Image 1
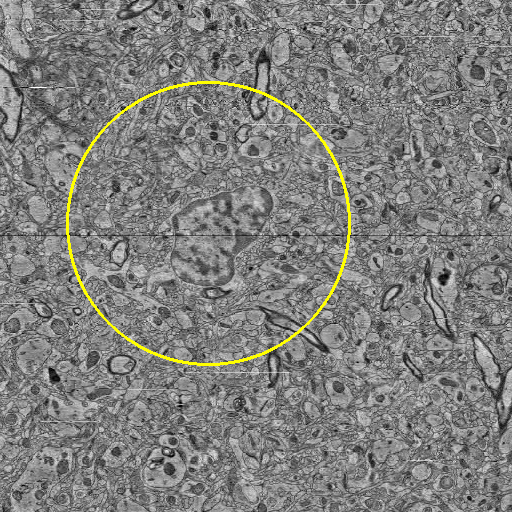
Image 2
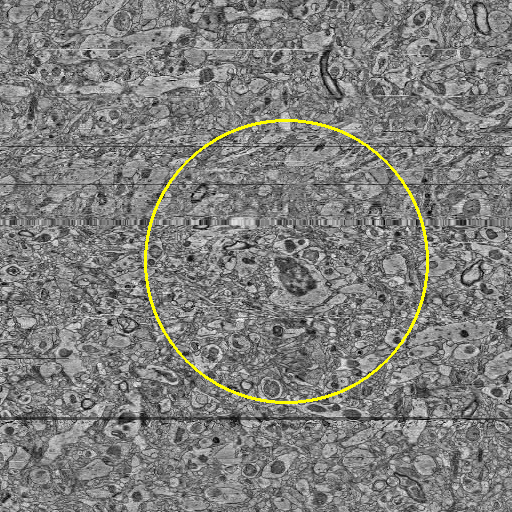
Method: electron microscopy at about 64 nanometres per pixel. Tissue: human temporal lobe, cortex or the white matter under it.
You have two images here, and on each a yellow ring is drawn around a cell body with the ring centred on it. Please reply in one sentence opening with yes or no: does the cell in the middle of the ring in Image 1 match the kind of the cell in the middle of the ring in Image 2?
Yes, the two images show cells of one kind at the centres of their rings.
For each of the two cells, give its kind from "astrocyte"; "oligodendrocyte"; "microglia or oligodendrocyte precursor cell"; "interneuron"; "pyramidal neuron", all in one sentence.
The cell in the first picture is a microglial cell or oligodendrocyte precursor cell, and so is the one in the second.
